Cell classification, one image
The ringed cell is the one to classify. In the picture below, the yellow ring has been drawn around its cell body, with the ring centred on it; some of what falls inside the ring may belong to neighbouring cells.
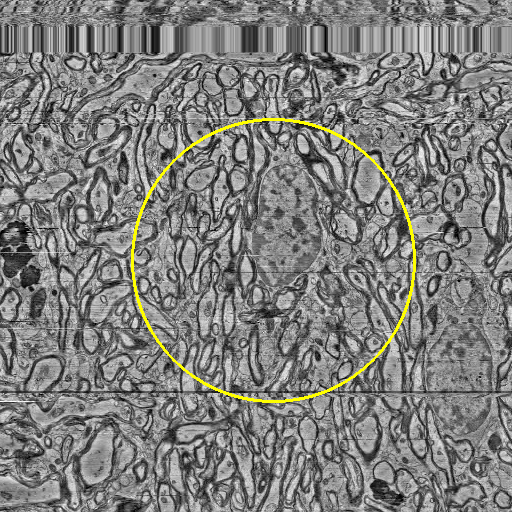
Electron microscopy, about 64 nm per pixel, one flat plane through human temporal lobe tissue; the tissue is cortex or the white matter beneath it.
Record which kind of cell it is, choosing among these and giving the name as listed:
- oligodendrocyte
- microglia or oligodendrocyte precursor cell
microglia or oligodendrocyte precursor cell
